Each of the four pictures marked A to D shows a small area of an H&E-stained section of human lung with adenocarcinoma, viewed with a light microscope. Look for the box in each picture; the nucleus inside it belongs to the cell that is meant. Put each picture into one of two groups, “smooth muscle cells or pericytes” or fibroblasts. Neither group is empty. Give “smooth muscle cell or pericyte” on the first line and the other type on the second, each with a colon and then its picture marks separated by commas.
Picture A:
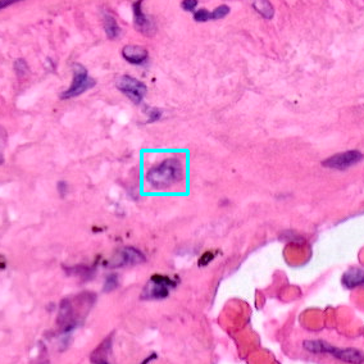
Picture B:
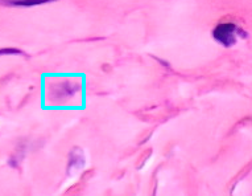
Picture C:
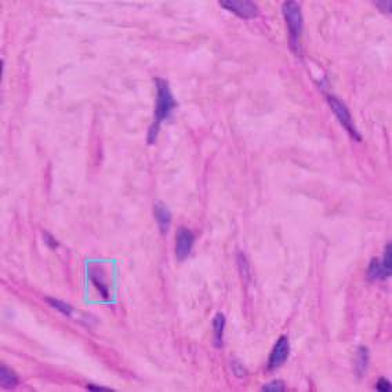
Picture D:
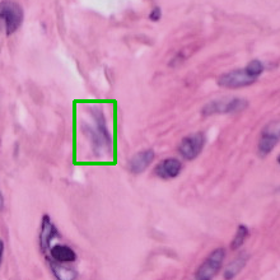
smooth muscle cell or pericyte: C
fibroblast: A, B, D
